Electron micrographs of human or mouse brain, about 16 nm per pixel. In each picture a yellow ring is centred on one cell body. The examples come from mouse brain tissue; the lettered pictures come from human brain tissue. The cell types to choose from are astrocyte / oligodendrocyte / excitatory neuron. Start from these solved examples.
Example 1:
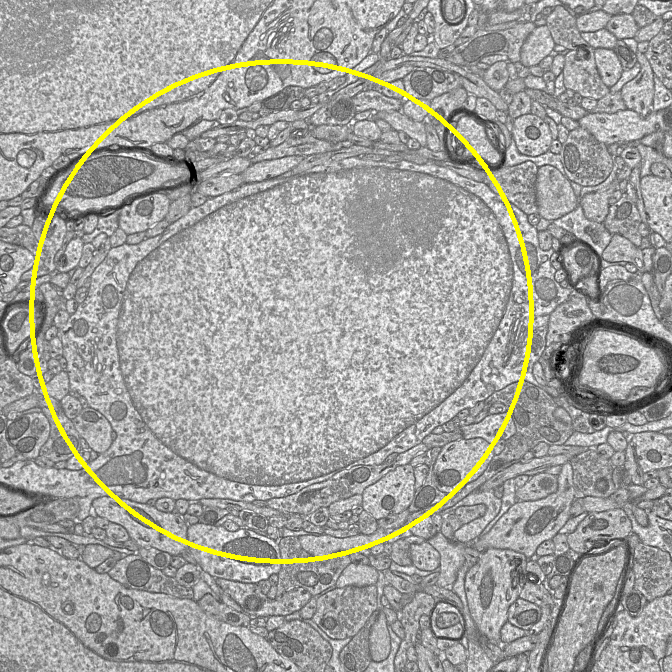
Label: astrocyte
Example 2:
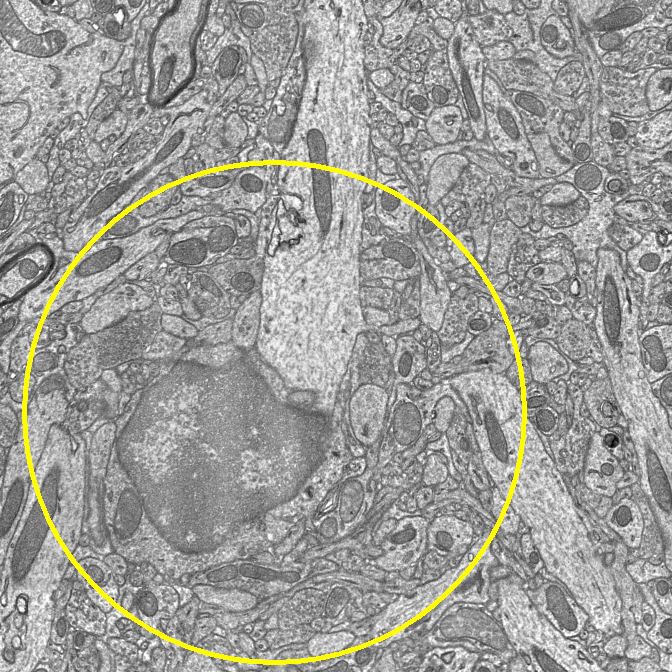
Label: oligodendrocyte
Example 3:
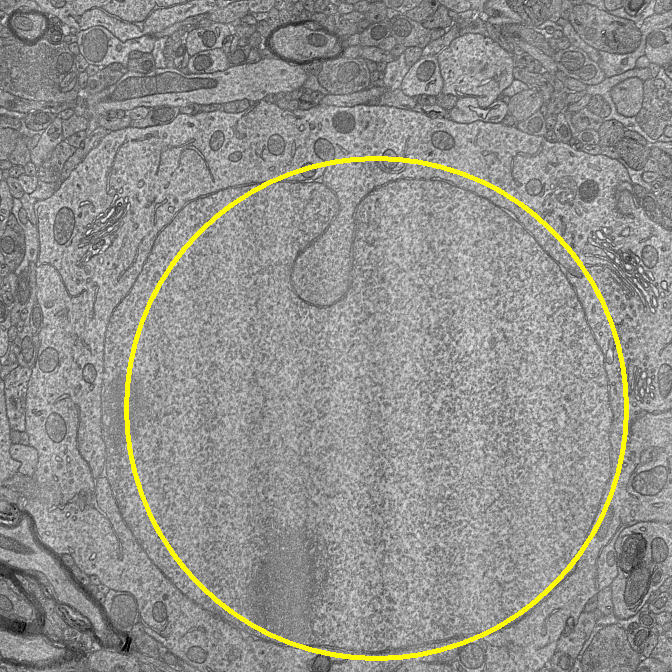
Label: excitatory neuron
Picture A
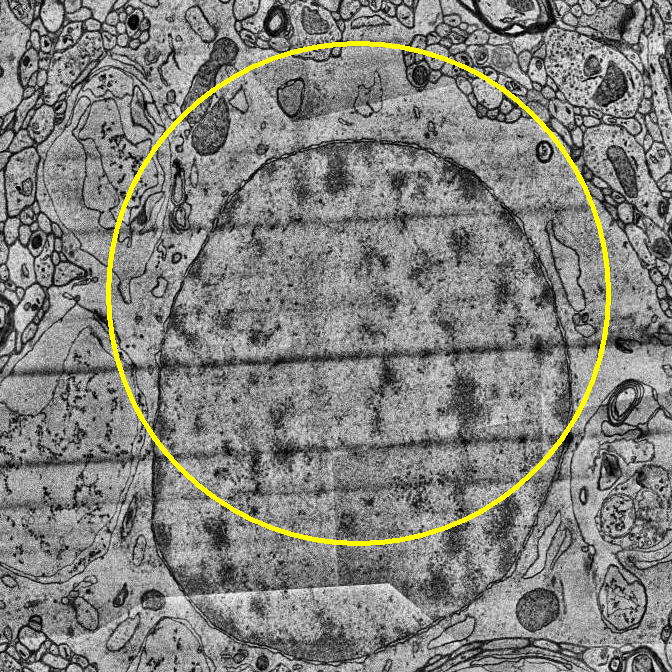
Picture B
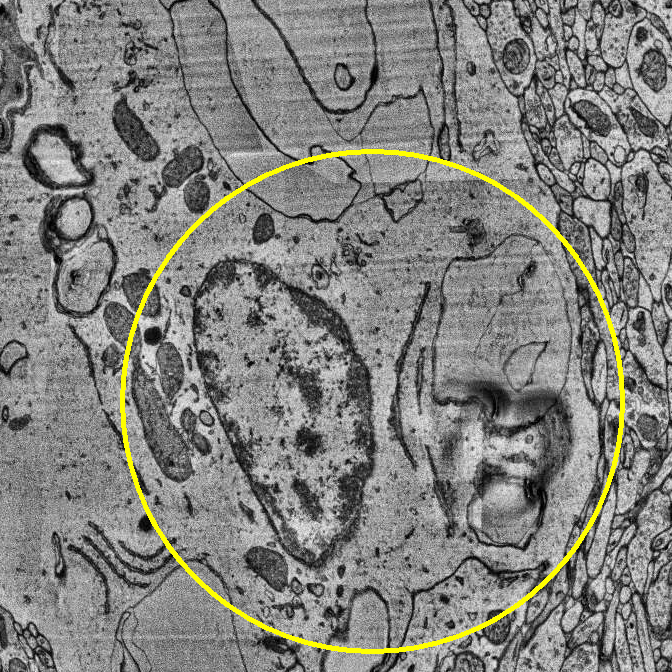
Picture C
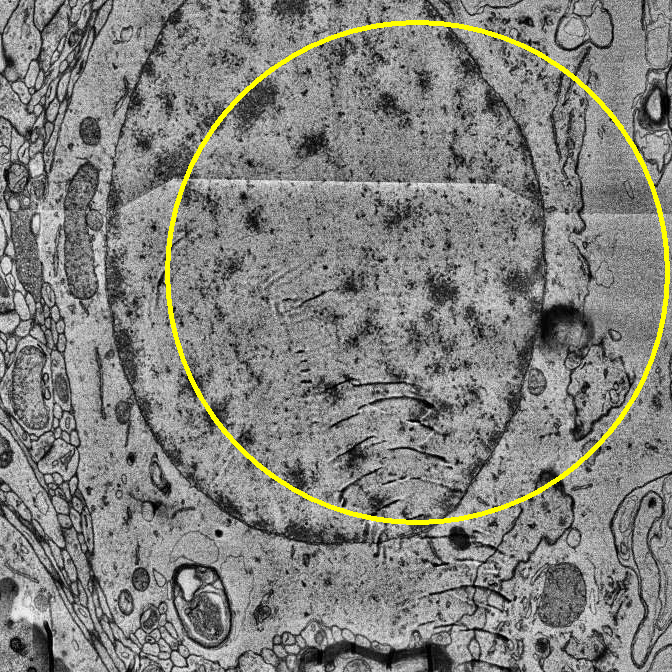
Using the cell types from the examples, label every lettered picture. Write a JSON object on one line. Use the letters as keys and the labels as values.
{"A": "astrocyte", "B": "astrocyte", "C": "astrocyte"}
